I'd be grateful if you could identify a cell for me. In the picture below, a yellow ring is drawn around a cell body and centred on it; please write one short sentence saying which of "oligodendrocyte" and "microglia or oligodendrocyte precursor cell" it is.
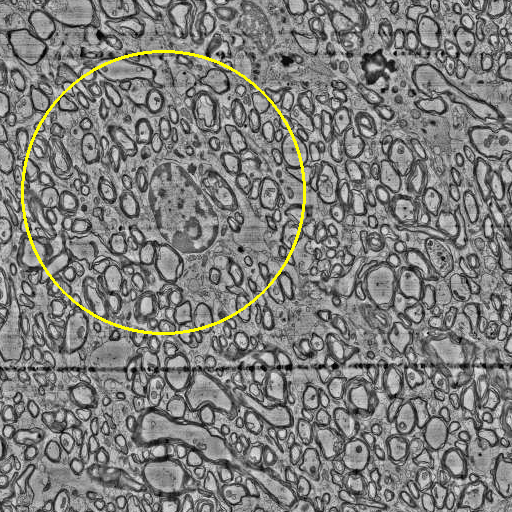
The cell under the ring's centre is a microglial cell or oligodendrocyte precursor cell.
